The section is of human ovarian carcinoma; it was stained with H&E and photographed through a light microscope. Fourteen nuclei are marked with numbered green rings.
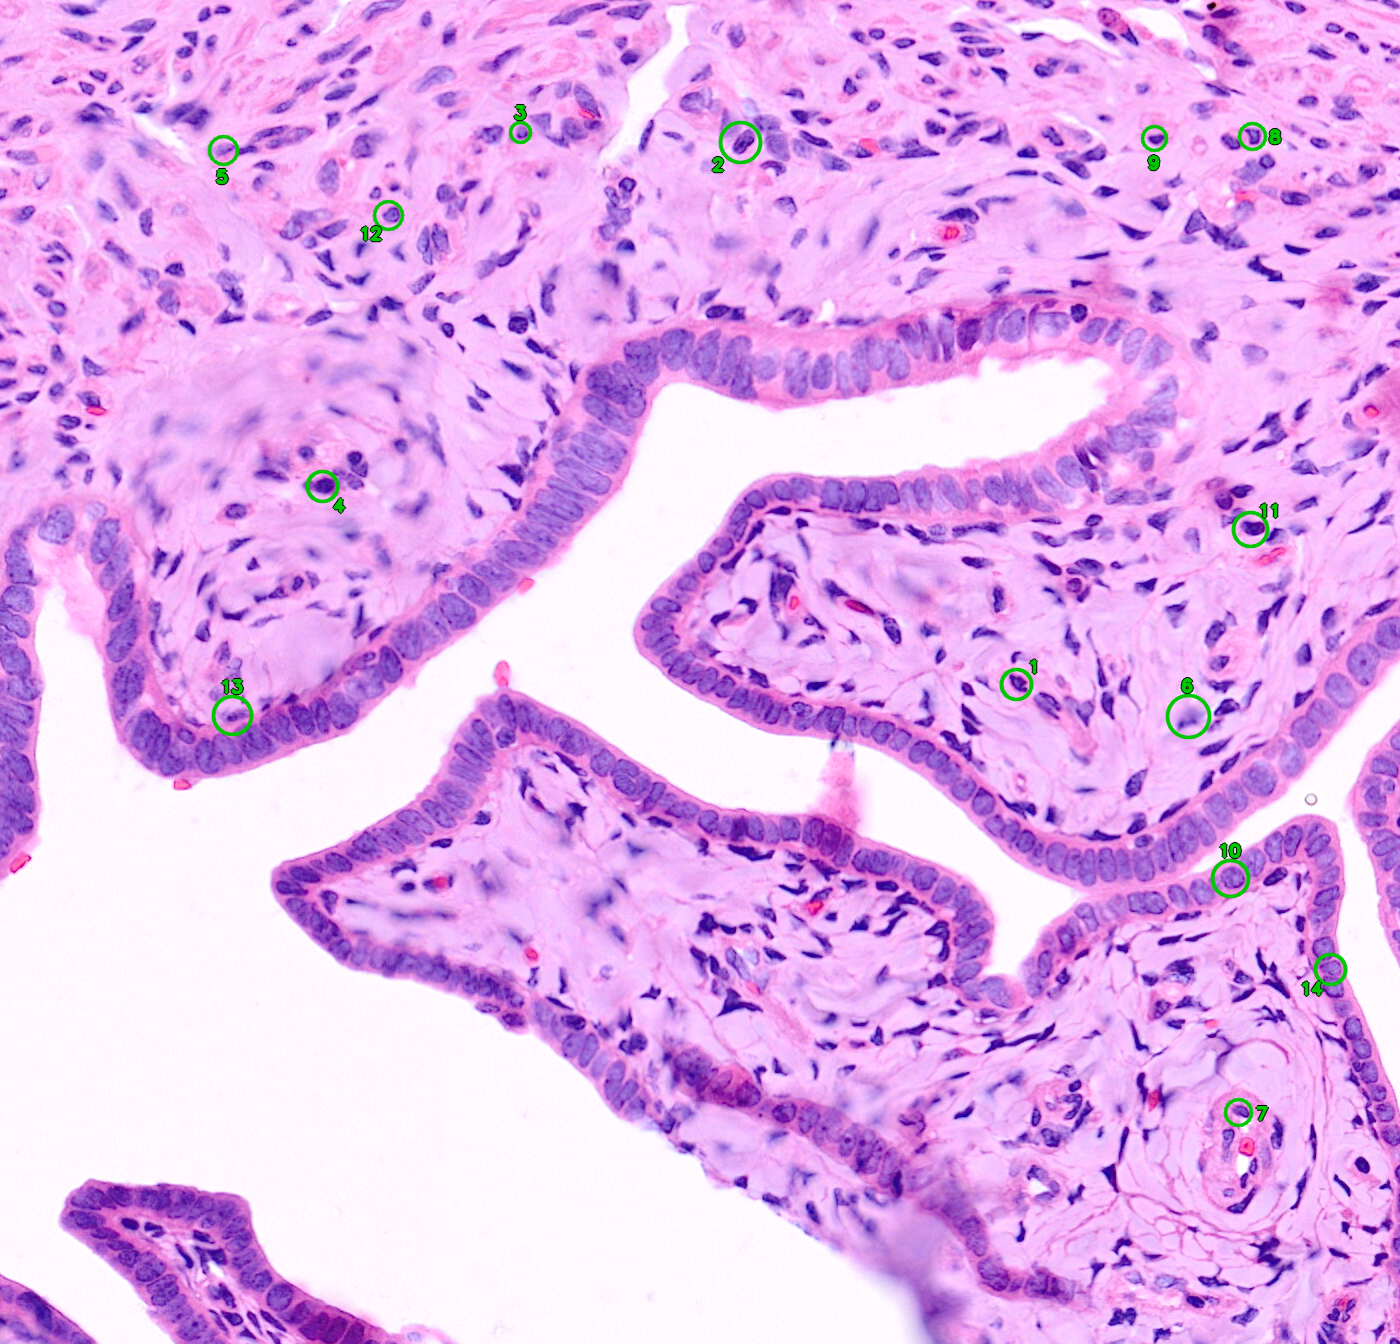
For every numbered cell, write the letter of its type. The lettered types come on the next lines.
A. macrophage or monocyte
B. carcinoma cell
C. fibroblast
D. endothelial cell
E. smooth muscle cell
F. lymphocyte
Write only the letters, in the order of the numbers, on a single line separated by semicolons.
D; F; E; F; E; C; D; E; E; B; F; E; C; B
